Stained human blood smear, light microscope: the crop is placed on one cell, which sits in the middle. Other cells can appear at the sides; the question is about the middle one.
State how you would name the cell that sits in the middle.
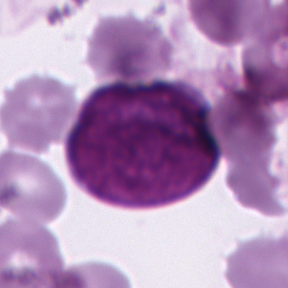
myeloblast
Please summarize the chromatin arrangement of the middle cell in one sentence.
No coarse chromatin clumps are present; the pattern is fine.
